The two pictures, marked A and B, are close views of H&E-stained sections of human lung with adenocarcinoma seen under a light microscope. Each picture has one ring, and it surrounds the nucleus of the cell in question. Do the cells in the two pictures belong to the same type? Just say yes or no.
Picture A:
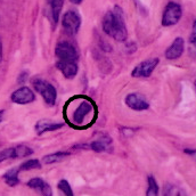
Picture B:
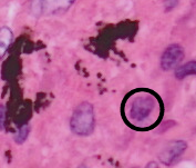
yes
